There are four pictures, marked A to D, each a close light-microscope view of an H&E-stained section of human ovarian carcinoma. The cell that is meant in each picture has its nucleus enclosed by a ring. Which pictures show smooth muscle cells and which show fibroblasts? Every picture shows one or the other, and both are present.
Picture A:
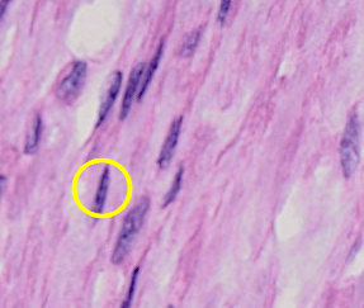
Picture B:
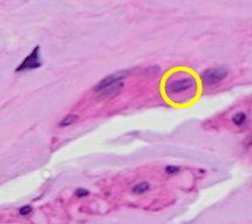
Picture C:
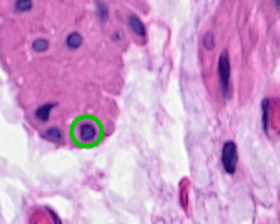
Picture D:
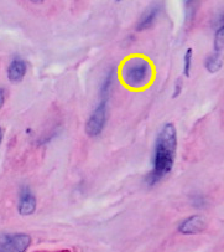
A: fibroblast
B: smooth muscle cell
C: smooth muscle cell
D: smooth muscle cell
